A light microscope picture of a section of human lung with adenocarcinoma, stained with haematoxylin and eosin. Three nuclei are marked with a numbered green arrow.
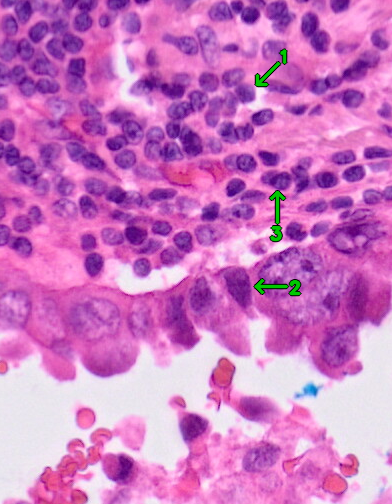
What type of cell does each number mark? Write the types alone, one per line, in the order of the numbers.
lymphocyte
carcinoma cell
lymphocyte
